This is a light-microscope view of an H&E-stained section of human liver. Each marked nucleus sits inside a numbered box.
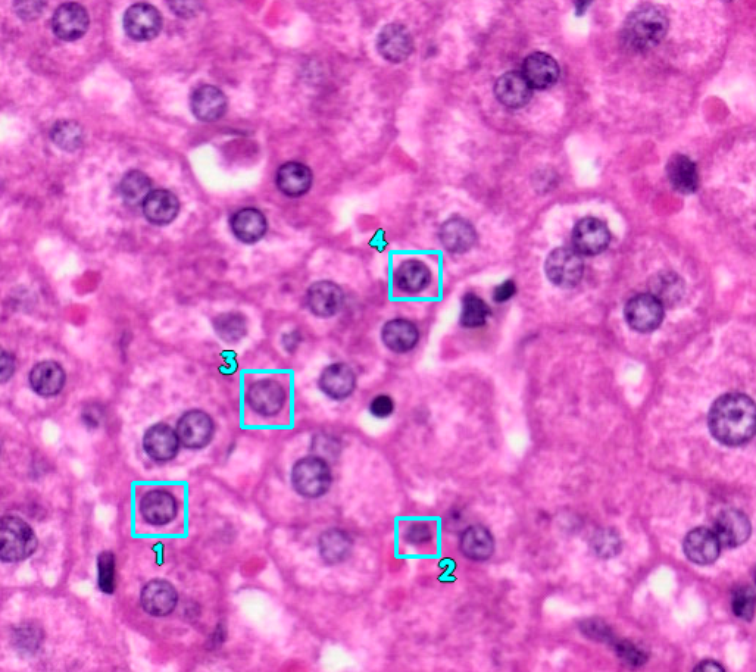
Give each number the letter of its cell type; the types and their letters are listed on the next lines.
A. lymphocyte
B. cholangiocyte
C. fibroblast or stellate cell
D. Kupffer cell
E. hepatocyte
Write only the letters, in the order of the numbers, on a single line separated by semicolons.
E; D; E; E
